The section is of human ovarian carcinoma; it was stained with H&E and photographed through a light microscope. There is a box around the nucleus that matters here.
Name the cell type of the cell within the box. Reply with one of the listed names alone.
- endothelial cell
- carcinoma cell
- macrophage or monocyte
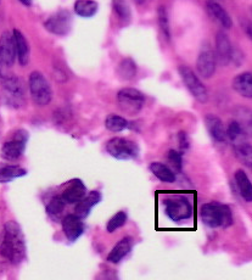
carcinoma cell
